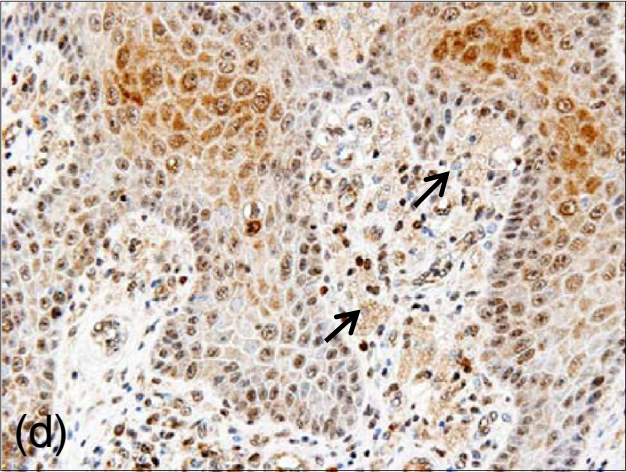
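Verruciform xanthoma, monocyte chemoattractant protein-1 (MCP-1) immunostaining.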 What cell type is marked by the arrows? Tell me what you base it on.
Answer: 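The arrows point to clusters of rounded cells in the stroma between epithelial pegs. These cells have pale brown cytoplasm, weaker than the upper epithelium. The answer: infiltrating macrophages.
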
